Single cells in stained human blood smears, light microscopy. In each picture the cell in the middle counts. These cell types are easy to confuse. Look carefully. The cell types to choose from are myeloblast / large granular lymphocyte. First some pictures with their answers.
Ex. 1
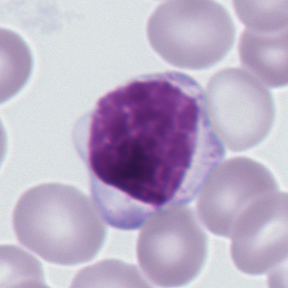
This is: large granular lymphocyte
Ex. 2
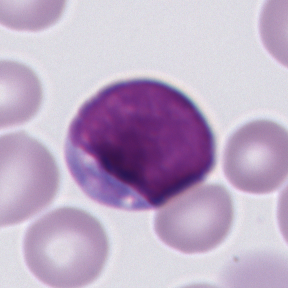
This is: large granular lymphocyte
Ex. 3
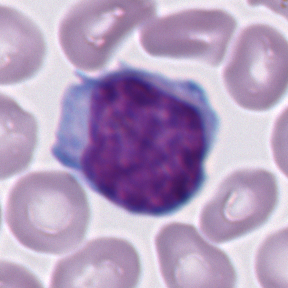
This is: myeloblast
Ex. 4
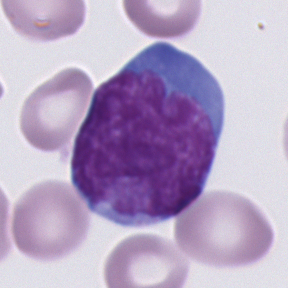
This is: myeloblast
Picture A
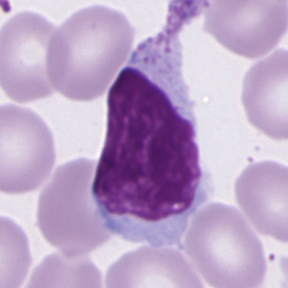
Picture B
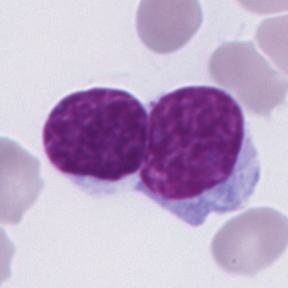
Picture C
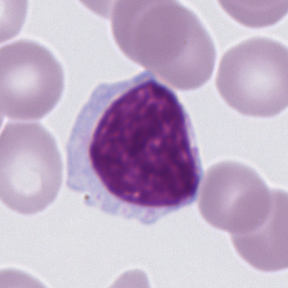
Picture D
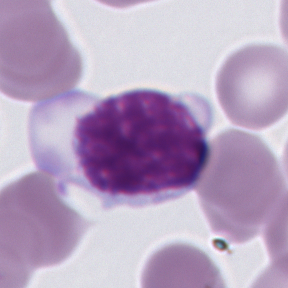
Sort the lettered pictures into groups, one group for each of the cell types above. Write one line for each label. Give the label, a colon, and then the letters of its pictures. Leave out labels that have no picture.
myeloblast: B
large granular lymphocyte: A, C, D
